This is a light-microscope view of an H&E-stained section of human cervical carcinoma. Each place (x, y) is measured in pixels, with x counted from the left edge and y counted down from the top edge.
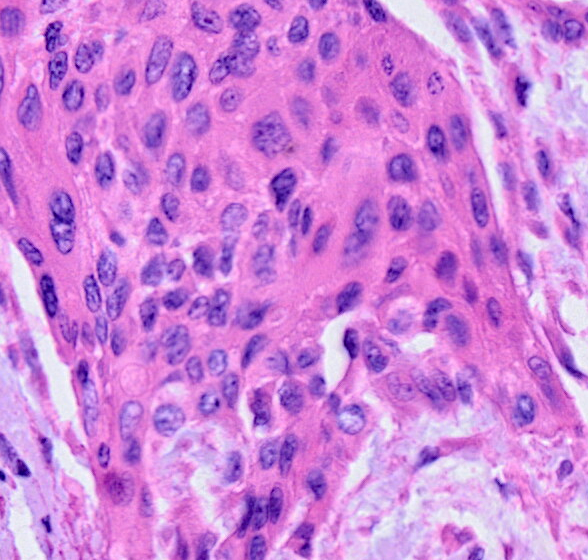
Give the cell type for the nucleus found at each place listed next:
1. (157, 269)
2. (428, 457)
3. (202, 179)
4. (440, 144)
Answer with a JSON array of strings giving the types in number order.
["squamous carcinoma cell", "fibroblast", "squamous carcinoma cell", "squamous carcinoma cell"]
